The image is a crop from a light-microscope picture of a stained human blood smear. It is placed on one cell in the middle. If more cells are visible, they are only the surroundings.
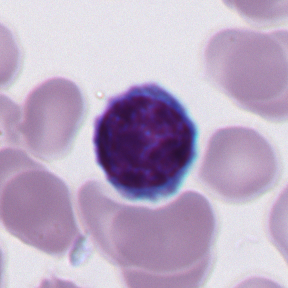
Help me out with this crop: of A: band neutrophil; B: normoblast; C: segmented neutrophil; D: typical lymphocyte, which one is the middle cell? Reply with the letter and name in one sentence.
Correctly, option D names the cell in the middle a typical lymphocyte.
